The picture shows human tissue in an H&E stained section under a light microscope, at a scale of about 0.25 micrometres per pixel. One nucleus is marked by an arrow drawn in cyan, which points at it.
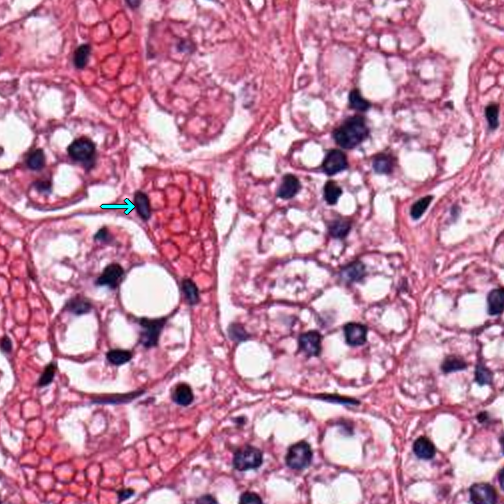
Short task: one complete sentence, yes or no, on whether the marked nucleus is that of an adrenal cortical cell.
No, rather than to an adrenal cortical cell, the marked nucleus belongs to a supporting cell.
